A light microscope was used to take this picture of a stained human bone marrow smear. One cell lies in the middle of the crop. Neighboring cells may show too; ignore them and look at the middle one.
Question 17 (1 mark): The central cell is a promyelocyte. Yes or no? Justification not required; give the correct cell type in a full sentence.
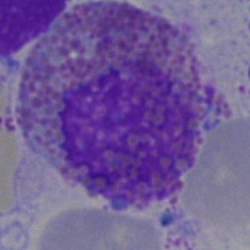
No, the cell found centrally in the crop is an eosinophil, not a promyelocyte.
